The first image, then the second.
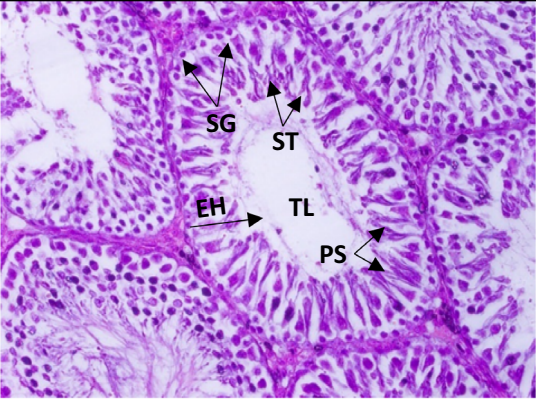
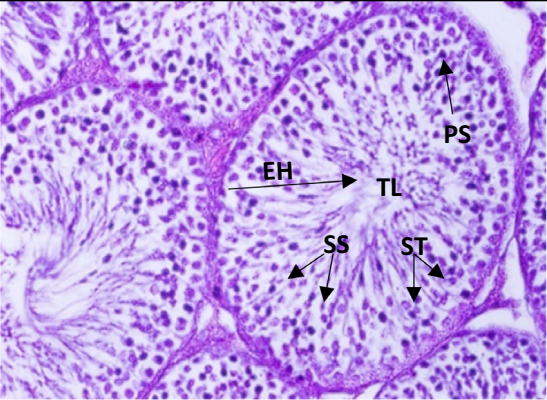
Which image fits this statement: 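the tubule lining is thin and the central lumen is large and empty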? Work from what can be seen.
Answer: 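First image: the central tubule has a wide empty lumen surrounded by a narrow band of elongated cells. Second image: the tubule is filled by a thick multilayered lining with only a small central lumen holding fine fibres.
Conclusion: the first image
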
